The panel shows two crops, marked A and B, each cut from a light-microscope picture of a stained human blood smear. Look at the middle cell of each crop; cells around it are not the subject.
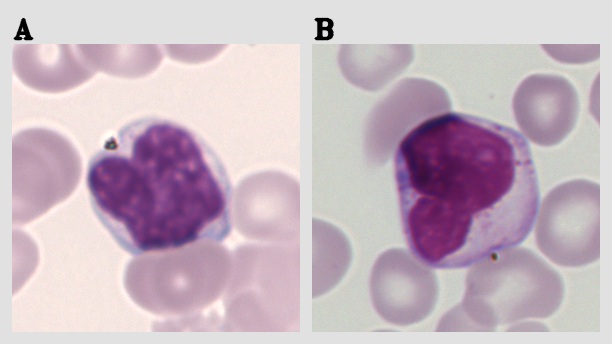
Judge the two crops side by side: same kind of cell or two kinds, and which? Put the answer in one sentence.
Yes, large granular lymphocytes are centred in both crops.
